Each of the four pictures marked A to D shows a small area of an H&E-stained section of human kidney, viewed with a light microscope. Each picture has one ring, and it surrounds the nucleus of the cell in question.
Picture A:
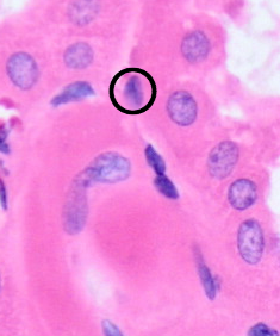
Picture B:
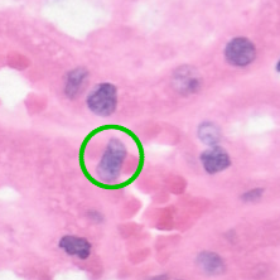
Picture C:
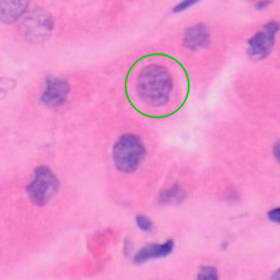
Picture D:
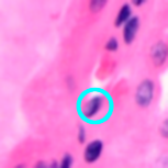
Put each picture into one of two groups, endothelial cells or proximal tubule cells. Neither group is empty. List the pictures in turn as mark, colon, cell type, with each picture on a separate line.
A: endothelial cell
B: endothelial cell
C: proximal tubule cell
D: endothelial cell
